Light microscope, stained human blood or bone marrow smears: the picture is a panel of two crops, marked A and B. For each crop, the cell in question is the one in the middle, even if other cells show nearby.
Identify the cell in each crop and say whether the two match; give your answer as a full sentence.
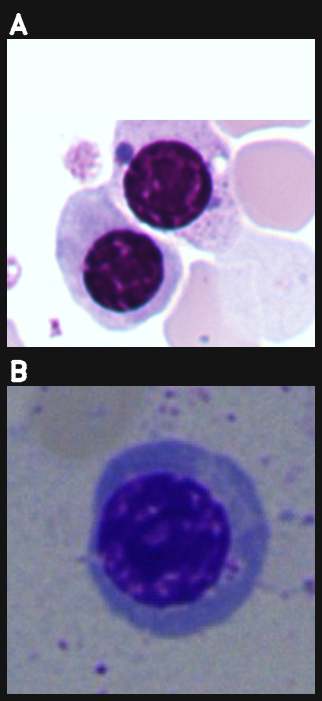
Yes, that holds, both crops show erythroblasts.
